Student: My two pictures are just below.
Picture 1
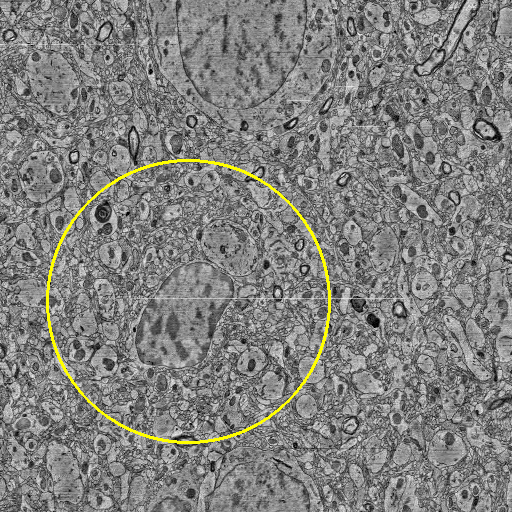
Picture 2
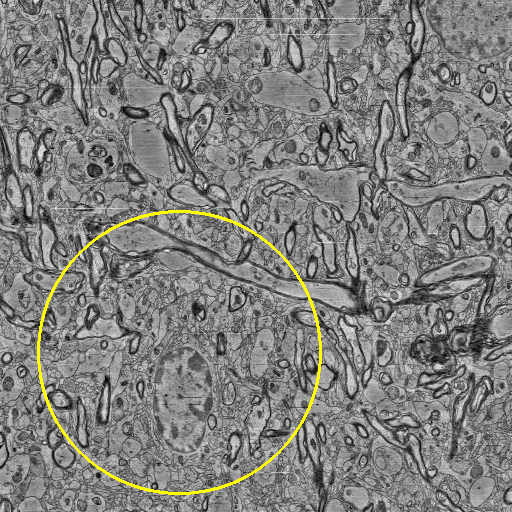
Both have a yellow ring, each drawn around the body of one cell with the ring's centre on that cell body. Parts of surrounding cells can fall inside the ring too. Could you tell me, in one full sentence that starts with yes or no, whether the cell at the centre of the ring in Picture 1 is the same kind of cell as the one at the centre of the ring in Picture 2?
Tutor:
Yes, the two cells are of the same kind.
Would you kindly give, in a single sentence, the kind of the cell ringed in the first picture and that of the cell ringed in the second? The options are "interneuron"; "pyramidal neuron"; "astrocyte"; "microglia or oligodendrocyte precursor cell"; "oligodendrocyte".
In each of the two pictures, the ringed cell is a microglial cell or oligodendrocyte precursor cell.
